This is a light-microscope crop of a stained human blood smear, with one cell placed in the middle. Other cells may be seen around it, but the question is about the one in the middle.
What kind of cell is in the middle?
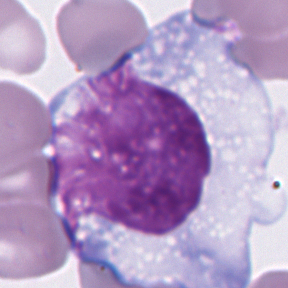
monocyte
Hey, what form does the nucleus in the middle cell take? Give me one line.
Just one compact nuclear mass here, round, oval or kidney-shaped.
